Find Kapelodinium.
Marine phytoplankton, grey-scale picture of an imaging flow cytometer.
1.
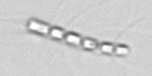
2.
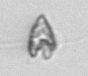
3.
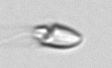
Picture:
3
